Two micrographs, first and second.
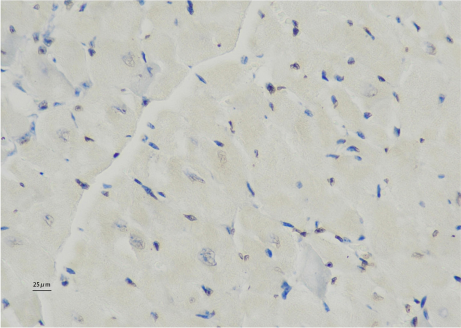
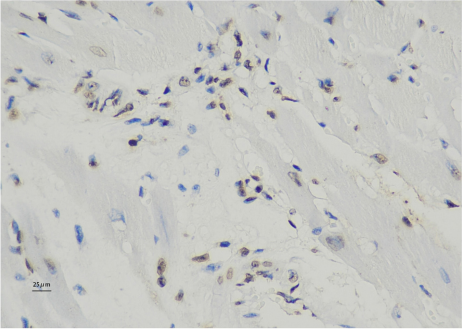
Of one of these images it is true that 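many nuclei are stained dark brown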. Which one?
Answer: the second image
